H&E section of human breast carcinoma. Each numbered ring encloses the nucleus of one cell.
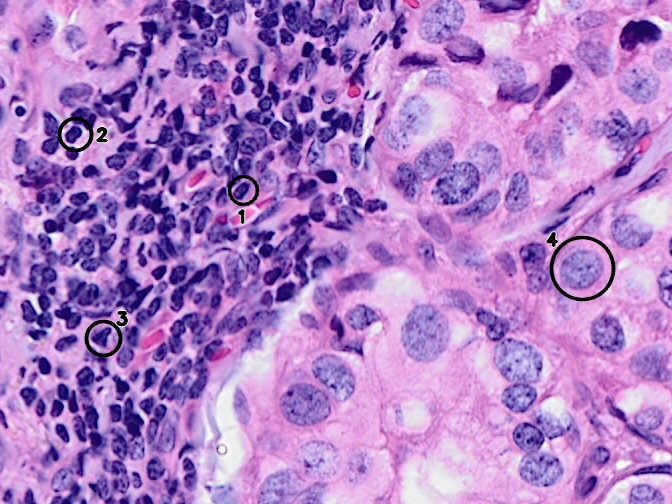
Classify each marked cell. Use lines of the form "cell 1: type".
cell 1: lymphocyte
cell 2: lymphocyte
cell 3: lymphocyte
cell 4: carcinoma cell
